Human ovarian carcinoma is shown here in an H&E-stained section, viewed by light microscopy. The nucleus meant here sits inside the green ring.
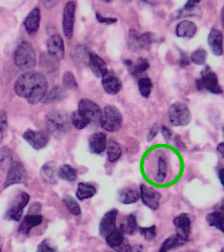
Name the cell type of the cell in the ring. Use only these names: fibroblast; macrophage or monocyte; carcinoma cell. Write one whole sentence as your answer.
This is a macrophage or monocyte.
